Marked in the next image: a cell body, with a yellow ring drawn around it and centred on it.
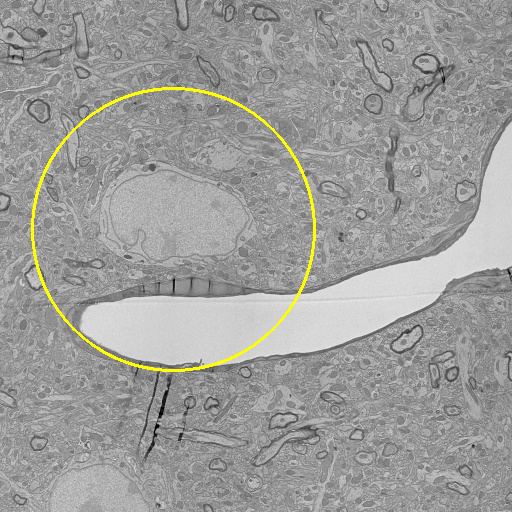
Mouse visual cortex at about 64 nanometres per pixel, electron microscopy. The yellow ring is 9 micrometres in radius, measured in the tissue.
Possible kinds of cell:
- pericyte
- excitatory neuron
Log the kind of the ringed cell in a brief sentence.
The ringed cell body is that of an excitatory neuron.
